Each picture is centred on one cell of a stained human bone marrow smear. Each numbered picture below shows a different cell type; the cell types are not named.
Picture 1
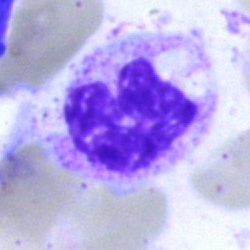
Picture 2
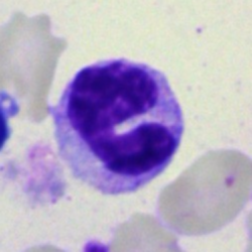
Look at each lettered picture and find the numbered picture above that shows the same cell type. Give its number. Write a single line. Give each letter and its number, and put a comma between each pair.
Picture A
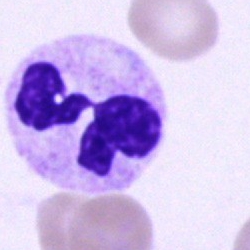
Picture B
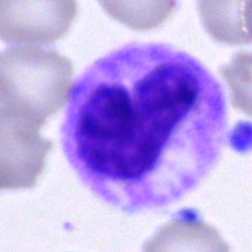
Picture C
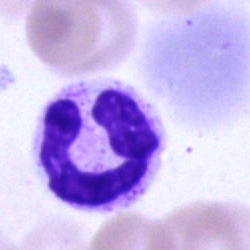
A 1, B 2, C 1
